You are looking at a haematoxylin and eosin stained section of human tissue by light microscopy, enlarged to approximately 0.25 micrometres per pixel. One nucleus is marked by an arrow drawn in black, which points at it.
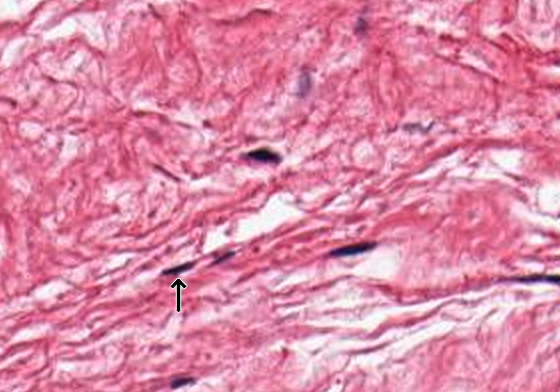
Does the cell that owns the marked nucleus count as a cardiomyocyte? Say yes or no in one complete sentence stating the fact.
No, instead of a cardiomyocyte, a supporting cell is what the marked nucleus belongs to.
